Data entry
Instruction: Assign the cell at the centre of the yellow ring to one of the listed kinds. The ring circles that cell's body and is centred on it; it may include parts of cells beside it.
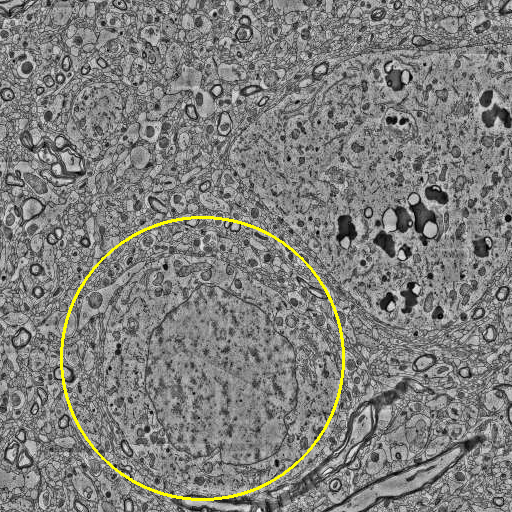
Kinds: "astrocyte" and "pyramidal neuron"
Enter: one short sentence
The centre of the ring falls on a pyramidal neuron.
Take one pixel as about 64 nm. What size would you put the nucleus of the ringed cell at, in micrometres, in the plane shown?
In this plane the nucleus measures roughly 11 micrometres across.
